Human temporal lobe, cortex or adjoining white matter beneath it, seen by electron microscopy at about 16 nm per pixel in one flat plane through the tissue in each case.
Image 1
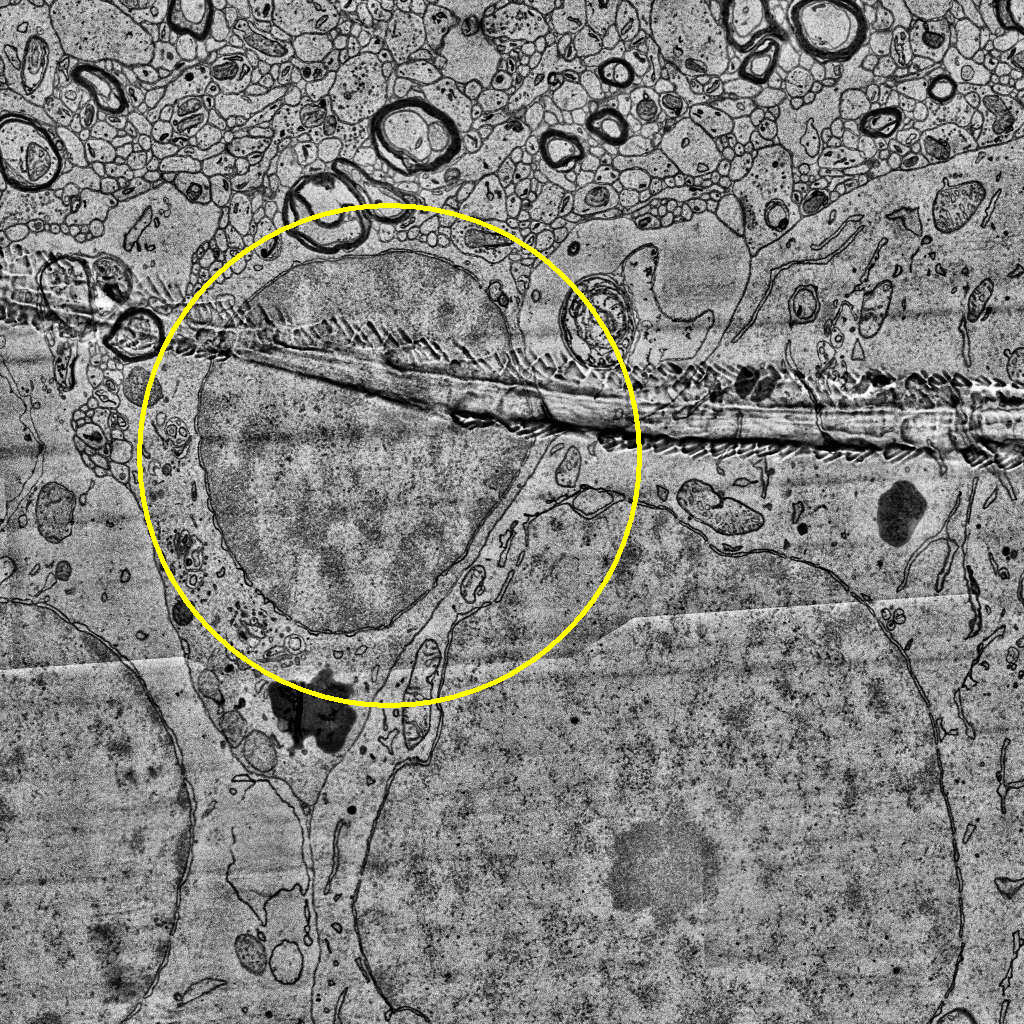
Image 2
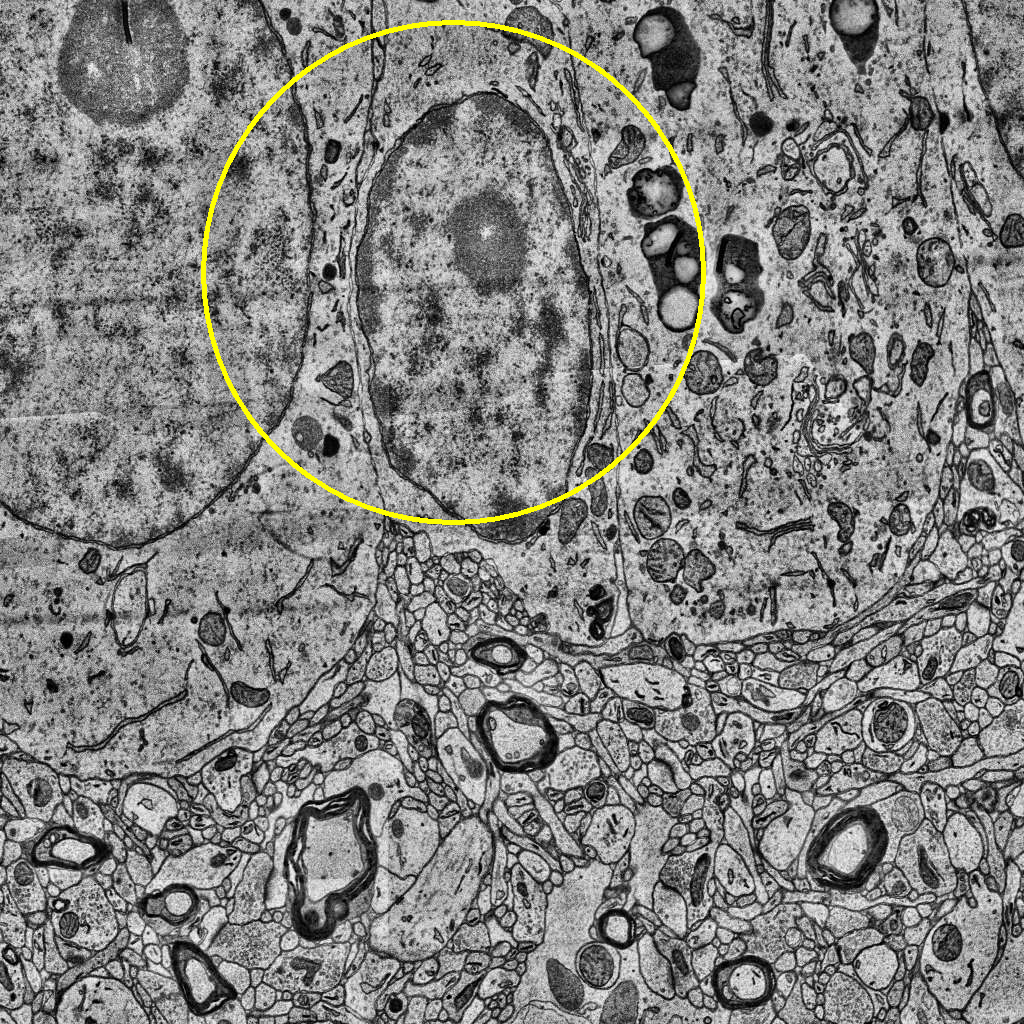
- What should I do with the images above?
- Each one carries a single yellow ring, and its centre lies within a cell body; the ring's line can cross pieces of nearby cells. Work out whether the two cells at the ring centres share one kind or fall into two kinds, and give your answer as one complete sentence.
The ring-centre cells of Image 1 and Image 2 fall into two kinds.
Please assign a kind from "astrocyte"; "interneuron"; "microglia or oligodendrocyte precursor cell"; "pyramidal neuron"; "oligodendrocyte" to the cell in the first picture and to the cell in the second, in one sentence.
The first picture's cell is an oligodendrocyte, and the second picture's cell is a microglial cell or oligodendrocyte precursor cell.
